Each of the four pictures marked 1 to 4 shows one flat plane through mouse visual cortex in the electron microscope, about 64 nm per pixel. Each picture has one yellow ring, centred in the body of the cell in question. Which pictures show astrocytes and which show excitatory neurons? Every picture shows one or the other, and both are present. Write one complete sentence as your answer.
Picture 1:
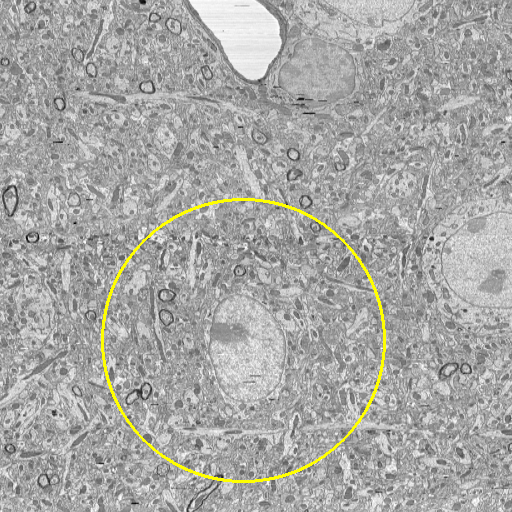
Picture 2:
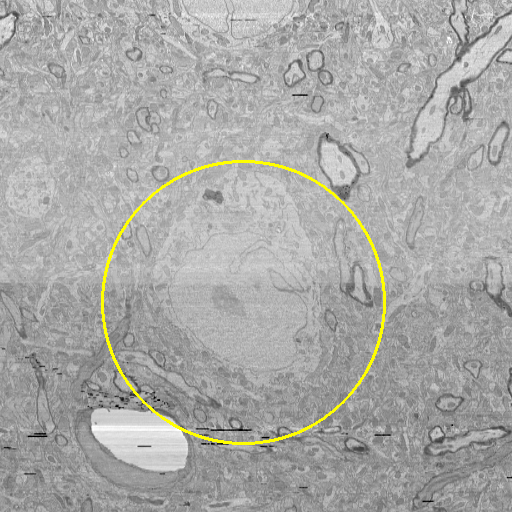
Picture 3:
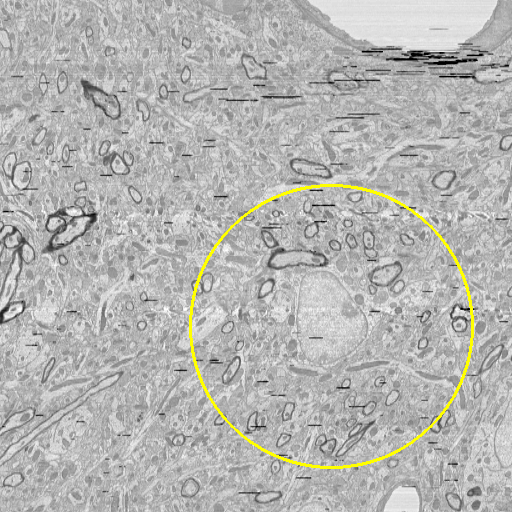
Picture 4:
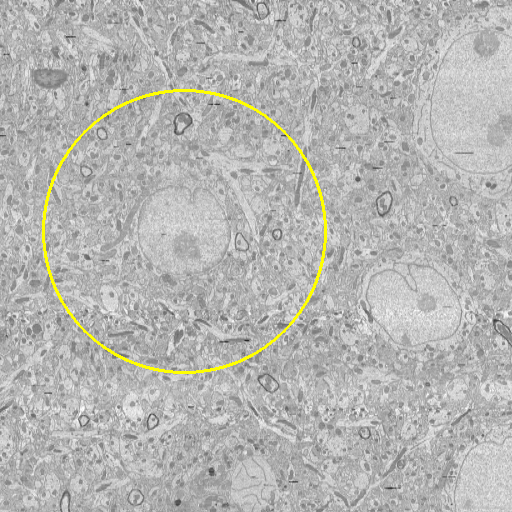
Pictures 1, 3 and 4 show astrocytes, and picture 2 shows an excitatory neuron.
